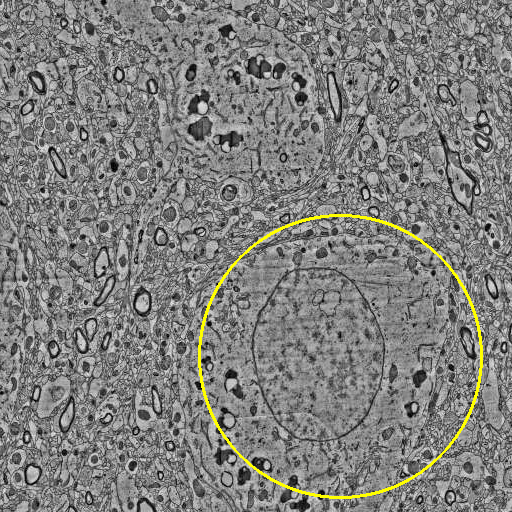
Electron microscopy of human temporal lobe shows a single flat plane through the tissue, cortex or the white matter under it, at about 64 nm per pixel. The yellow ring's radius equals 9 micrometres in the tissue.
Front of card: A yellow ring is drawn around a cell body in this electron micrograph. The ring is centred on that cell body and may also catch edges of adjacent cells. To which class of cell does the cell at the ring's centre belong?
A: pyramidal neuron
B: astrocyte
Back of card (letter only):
A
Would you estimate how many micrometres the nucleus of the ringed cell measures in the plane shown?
Approximately 11 micrometres long and 8 micrometres wide, in this plane.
